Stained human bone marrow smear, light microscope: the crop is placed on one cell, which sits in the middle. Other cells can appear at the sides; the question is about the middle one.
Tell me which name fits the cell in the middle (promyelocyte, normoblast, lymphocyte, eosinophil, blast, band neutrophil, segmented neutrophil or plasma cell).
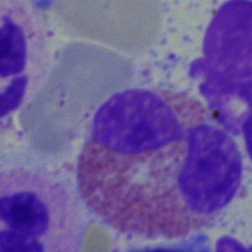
eosinophil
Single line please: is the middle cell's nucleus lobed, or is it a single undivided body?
It is worth mentioning that the nucleus carries two or more lobes.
